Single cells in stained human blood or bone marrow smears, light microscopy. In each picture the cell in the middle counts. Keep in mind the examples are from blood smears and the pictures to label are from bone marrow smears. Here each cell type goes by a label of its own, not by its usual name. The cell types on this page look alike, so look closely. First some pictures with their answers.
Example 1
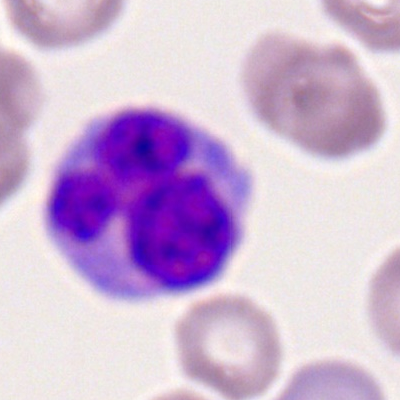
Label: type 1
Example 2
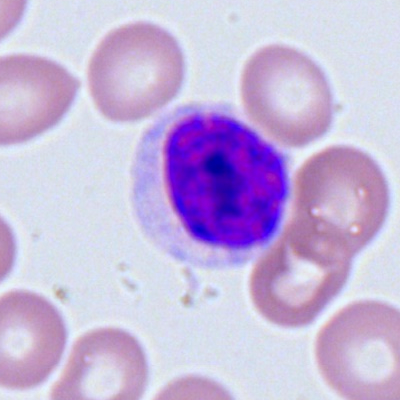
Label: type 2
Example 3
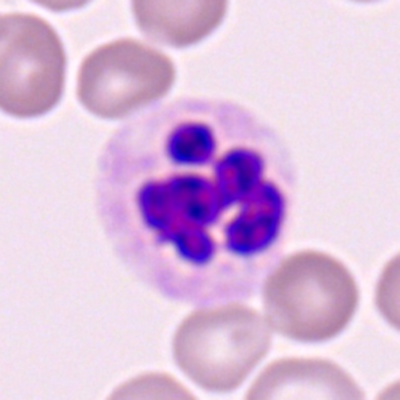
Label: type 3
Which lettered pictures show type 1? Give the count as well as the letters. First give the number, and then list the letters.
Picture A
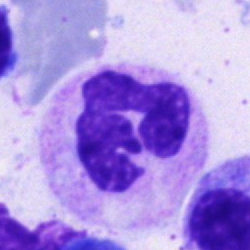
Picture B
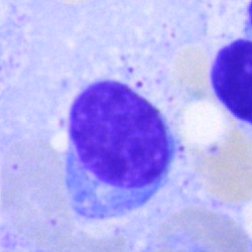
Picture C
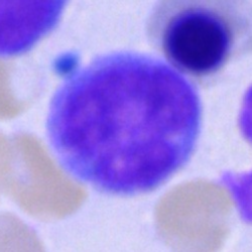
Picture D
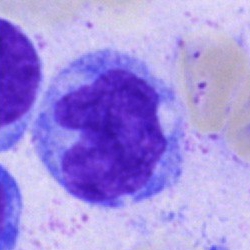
Count: 2 (C, D)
